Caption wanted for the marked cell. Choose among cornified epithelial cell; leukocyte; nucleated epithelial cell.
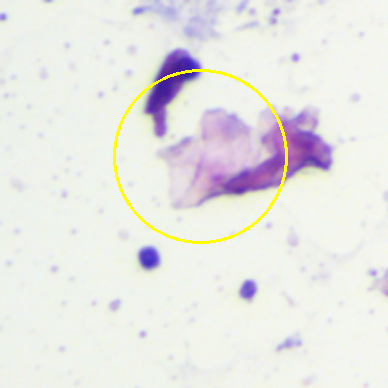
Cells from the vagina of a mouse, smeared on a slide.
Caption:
Ringed in yellow is a cornified epithelial cell.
